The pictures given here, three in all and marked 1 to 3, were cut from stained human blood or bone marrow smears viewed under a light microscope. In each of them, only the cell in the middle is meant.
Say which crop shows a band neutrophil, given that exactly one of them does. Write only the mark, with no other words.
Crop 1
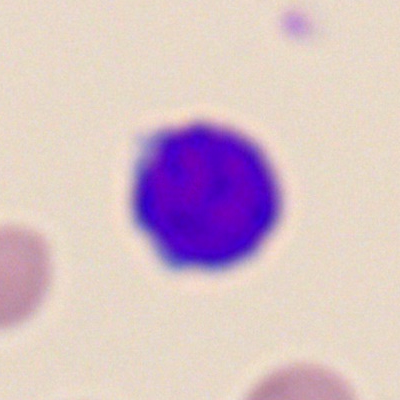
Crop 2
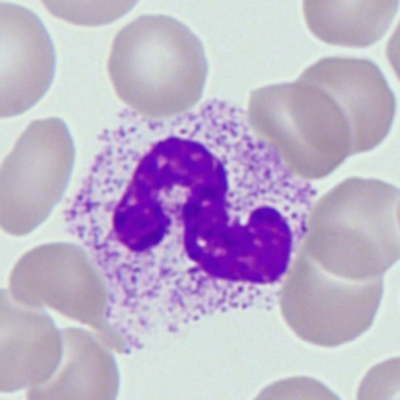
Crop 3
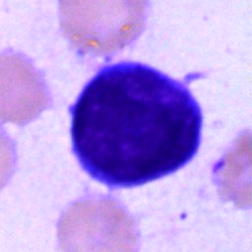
2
